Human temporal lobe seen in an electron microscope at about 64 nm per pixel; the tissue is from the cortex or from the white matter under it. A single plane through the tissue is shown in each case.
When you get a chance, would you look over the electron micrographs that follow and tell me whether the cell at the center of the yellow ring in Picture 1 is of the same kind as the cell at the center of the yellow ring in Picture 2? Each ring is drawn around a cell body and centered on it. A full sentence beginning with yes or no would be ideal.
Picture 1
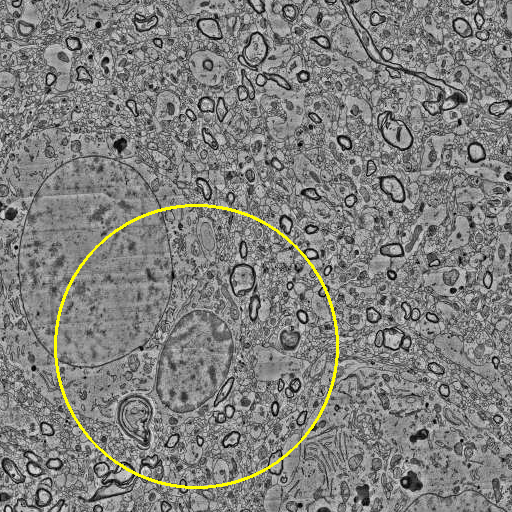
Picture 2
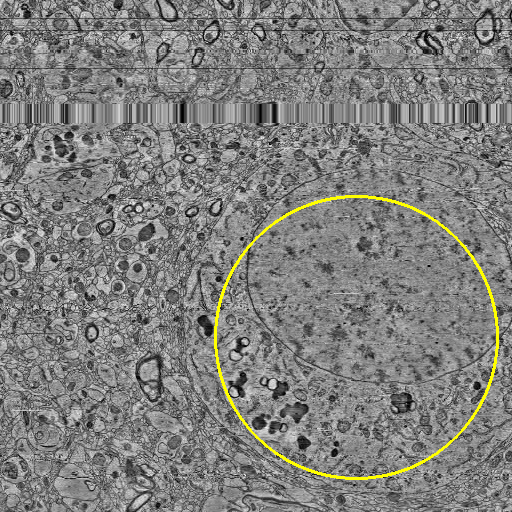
No, they are two kinds of cell.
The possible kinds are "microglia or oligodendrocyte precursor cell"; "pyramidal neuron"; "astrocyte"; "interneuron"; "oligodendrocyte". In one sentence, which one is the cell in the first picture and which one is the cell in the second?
The cell ringed in the second picture is a pyramidal neuron, whereas the one ringed in the first is an oligodendrocyte.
